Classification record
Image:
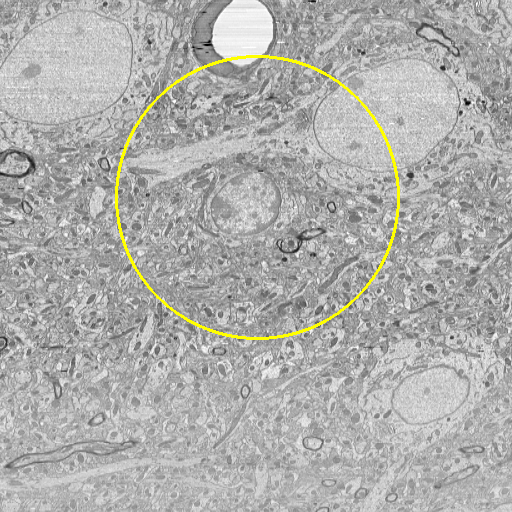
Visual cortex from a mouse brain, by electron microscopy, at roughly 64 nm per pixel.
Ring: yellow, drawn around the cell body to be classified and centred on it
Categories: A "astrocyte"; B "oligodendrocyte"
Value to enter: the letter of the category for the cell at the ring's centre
B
